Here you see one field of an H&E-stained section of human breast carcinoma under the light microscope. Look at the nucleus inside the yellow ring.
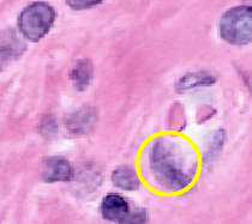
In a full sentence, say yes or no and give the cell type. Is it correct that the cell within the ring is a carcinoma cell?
No, the cell within the ring is put down as an endothelial cell, not as a carcinoma cell.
